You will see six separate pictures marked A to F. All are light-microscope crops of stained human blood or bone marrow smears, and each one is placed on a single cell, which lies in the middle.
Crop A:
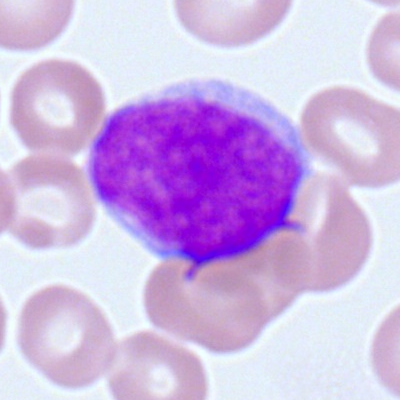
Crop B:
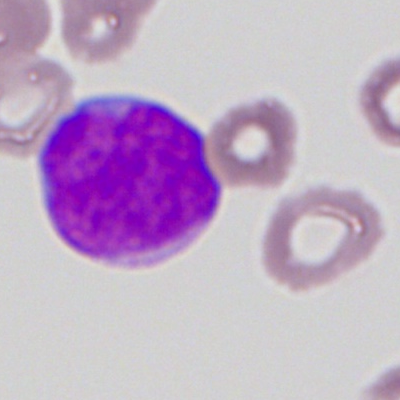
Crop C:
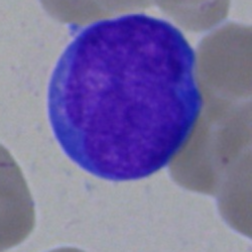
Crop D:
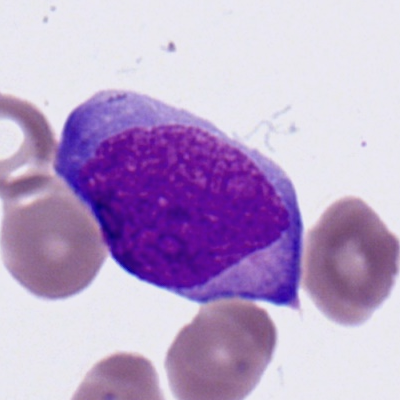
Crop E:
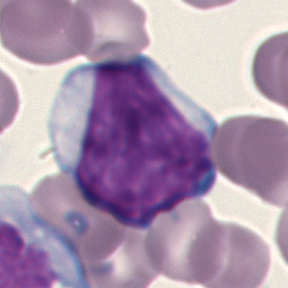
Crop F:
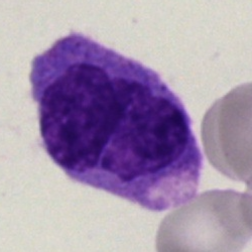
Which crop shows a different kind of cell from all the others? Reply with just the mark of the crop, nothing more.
F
